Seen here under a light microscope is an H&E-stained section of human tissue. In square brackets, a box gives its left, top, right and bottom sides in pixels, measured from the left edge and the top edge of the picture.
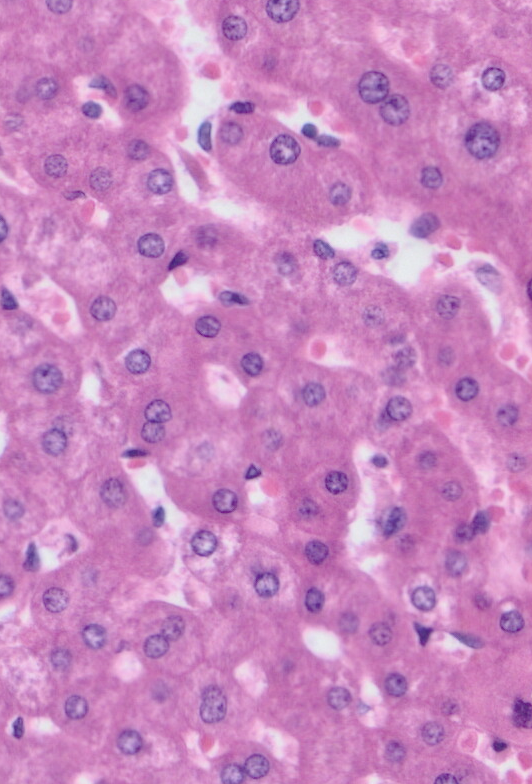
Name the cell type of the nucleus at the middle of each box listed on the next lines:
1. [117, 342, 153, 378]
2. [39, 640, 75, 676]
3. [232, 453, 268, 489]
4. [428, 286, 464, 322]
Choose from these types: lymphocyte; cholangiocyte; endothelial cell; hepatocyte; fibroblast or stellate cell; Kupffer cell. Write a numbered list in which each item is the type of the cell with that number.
1. hepatocyte
2. hepatocyte
3. fibroblast or stellate cell
4. hepatocyte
